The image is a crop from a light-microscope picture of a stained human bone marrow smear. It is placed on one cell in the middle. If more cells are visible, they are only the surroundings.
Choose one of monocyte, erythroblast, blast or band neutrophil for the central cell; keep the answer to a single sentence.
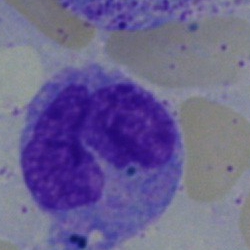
The crop's centre is taken up by a monocyte.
